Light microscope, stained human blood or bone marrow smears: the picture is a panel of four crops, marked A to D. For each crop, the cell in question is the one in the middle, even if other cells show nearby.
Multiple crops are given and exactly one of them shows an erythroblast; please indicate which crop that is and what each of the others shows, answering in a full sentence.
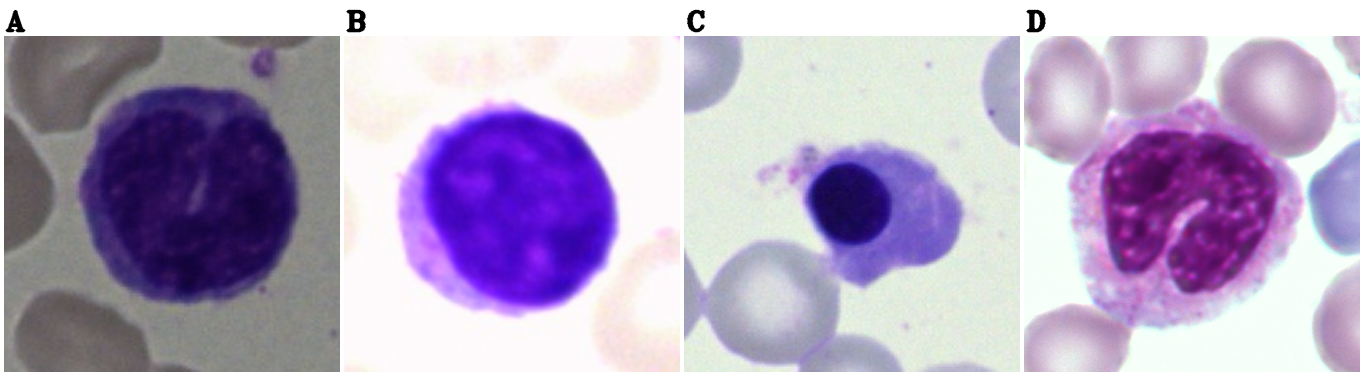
Identified in crop C is an erythroblast, whereas crop A is a monocyte, crop B is a lymphocyte and crop D is a band neutrophil.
